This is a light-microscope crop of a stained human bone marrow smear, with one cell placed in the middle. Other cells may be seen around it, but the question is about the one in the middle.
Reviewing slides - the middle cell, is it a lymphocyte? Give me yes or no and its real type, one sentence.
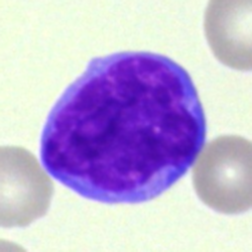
No, the cell in the middle is not a lymphocyte but a blast.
